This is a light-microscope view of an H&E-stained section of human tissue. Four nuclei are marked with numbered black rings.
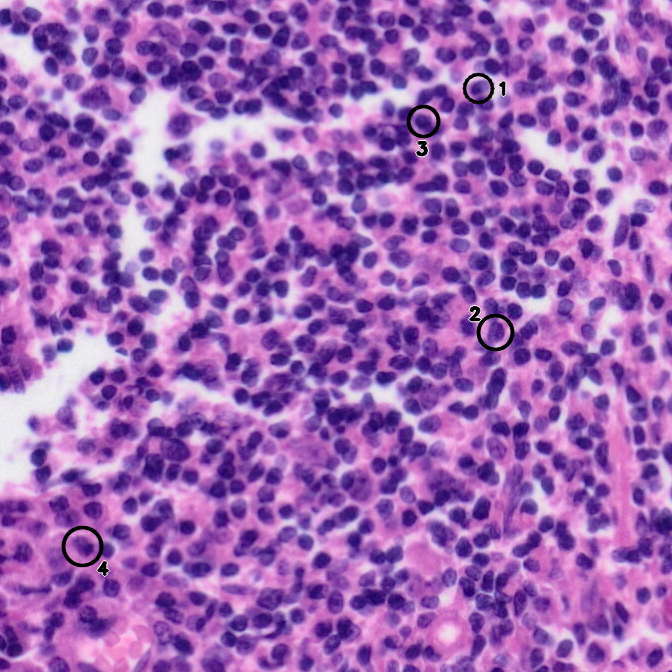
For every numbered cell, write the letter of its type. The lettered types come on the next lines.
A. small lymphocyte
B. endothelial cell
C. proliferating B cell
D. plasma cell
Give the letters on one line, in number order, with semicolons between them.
A; A; A; D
